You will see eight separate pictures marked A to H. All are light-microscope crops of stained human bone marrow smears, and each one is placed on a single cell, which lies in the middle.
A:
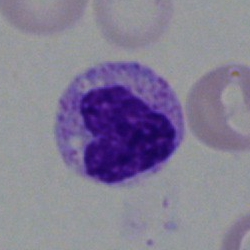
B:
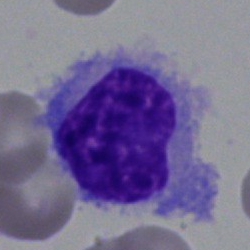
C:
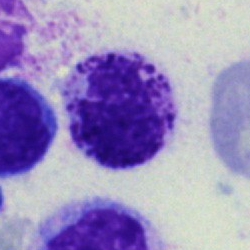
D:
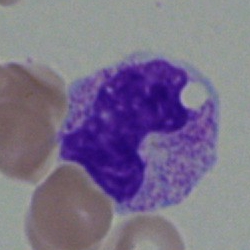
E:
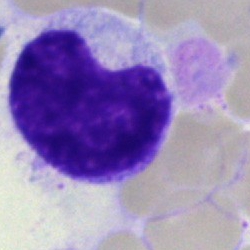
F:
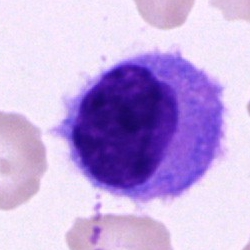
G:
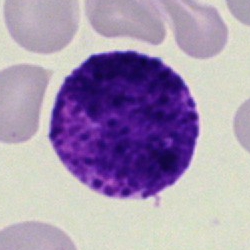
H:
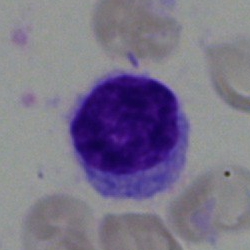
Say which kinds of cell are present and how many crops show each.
metamyelocyte: 3
hairy cell: 3
basophil: 2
